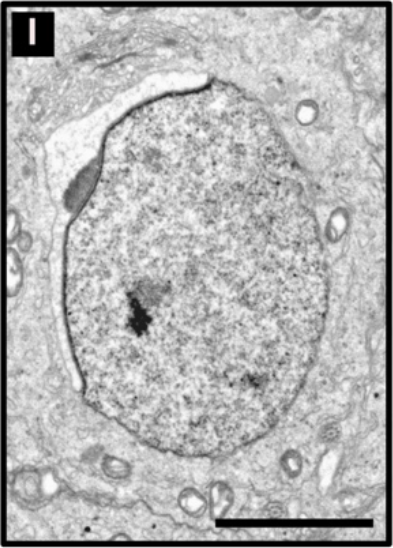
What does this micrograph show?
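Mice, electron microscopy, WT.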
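Round spermatid with a large oval nucleus of evenly granular chromatin and a small dark clump near its centre. A thin pale cap with a small dense thickening lies along one side of the nucleus. Round mitochondria are scattered in the surrounding cytoplasm.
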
